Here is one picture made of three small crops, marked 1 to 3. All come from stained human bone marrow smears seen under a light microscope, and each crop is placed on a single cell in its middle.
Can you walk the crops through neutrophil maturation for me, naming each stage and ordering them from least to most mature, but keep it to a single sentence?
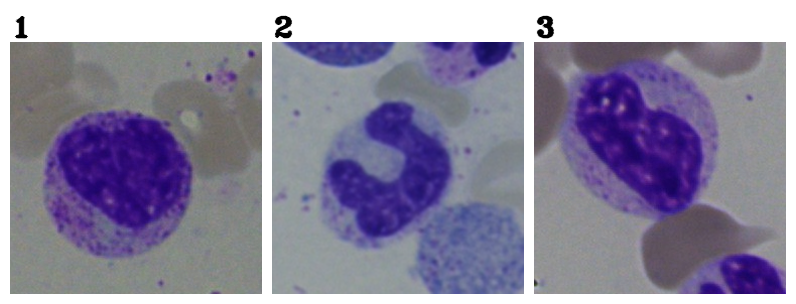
Sequenced by maturity, least first, the crops are crop 1 (a myelocyte), crop 3 (a metamyelocyte) and crop 2 (a band neutrophil).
